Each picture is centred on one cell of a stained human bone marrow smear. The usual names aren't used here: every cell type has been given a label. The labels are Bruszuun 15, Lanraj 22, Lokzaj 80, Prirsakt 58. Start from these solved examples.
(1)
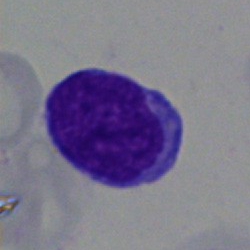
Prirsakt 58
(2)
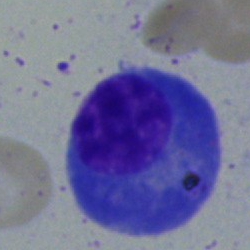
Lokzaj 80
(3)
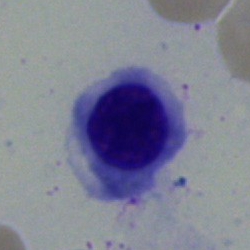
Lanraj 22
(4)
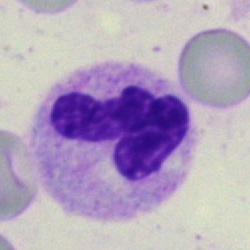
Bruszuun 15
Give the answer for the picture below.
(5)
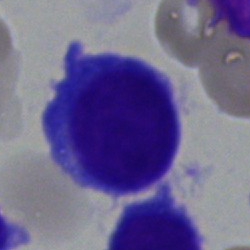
Lokzaj 80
